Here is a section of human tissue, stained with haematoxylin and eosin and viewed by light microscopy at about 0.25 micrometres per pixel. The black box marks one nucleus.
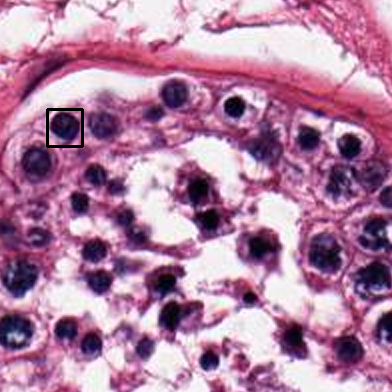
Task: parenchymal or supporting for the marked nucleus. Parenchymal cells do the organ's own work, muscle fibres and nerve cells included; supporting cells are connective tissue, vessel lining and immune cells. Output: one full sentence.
The marked nucleus is attributed to a parenchymal cell, namely a spermatogonium.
